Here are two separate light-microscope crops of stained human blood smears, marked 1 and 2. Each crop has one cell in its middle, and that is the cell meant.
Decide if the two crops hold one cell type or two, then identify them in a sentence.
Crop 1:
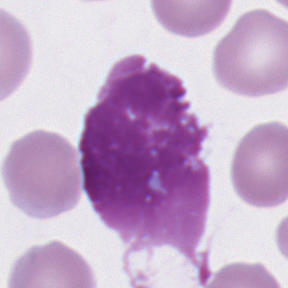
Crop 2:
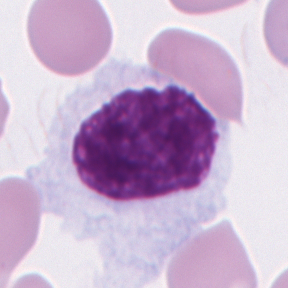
No, the cells are a smudge cell in crop 1 and a hairy cell in crop 2.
